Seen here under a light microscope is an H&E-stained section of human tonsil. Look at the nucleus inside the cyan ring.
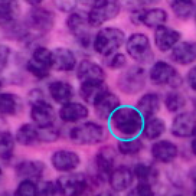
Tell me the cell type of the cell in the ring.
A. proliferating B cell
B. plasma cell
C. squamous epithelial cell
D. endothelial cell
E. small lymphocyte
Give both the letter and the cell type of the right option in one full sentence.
As stated in option E, the cell in the ring is a small lymphocyte.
